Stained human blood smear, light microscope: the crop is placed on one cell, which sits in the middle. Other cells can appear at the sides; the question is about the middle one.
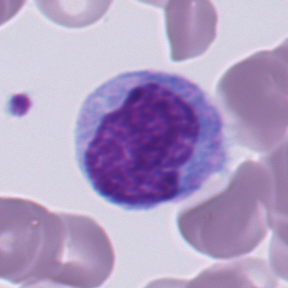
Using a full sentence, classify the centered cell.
The target cell in the middle of the crop is a monocyte.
